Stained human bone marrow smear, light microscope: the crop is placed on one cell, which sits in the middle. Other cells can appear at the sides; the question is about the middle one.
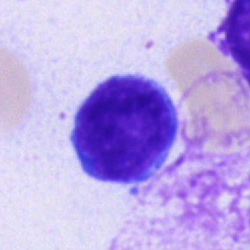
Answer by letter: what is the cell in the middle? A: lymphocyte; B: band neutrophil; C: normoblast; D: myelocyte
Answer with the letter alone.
A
